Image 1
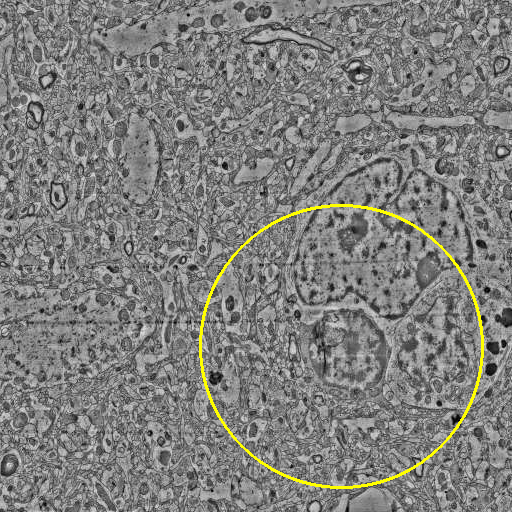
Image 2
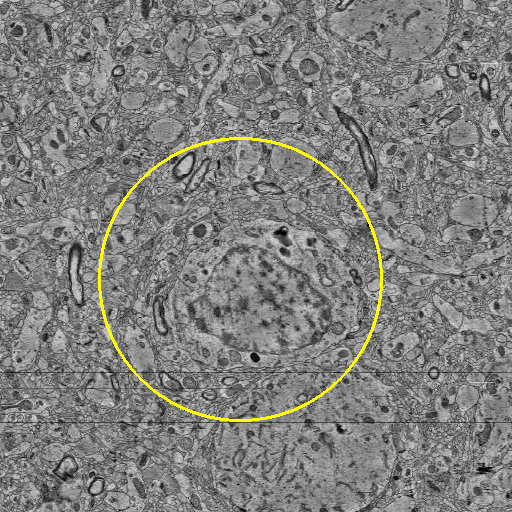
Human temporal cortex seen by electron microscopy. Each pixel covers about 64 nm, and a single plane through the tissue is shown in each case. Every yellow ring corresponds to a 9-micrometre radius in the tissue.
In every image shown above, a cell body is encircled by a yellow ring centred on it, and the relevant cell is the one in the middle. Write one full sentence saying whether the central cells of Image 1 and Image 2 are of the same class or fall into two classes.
The cell at the ring's centre in Image 1 and its counterpart in Image 2 fall into two classes.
